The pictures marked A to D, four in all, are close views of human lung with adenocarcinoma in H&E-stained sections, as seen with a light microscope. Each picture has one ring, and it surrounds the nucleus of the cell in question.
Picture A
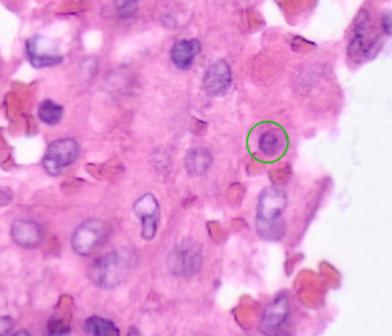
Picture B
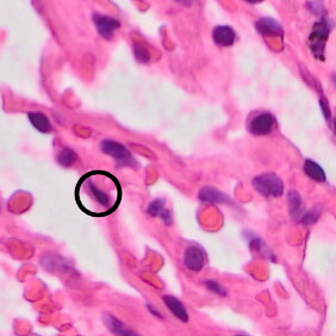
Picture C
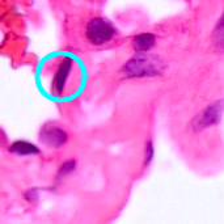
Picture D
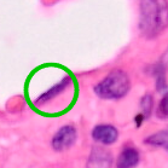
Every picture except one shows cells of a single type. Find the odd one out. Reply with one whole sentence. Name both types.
All pictures except A show endothelial cells; picture A shows a “macrophage or monocyte”.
